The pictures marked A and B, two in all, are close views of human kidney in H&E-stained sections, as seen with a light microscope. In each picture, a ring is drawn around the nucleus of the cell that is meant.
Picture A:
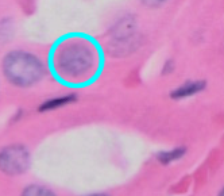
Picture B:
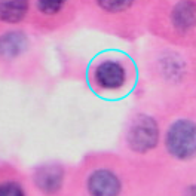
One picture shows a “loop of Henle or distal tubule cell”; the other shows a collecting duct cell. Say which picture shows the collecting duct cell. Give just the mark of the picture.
A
